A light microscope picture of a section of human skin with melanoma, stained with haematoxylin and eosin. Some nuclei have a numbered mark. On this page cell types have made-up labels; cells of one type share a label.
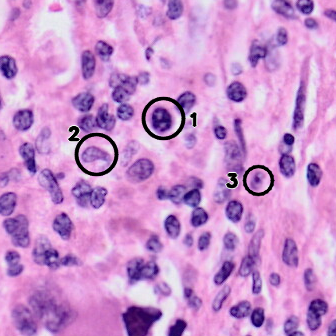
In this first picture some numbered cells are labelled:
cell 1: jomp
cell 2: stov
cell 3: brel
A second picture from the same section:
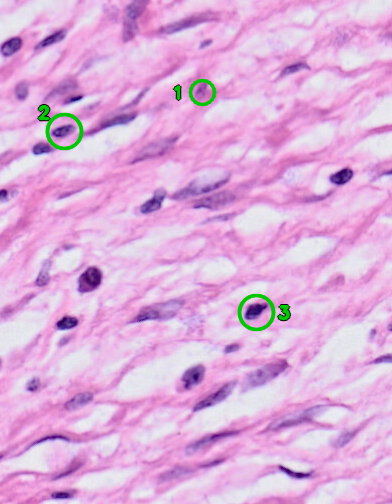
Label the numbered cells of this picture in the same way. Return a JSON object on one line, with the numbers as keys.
{"1": "stov", "2": "brel", "3": "brel"}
